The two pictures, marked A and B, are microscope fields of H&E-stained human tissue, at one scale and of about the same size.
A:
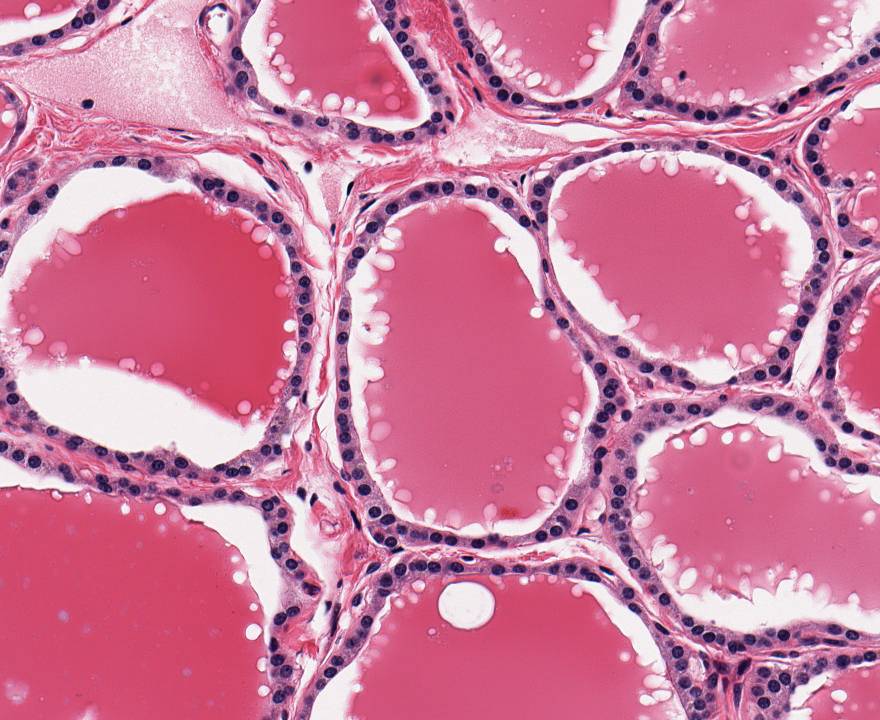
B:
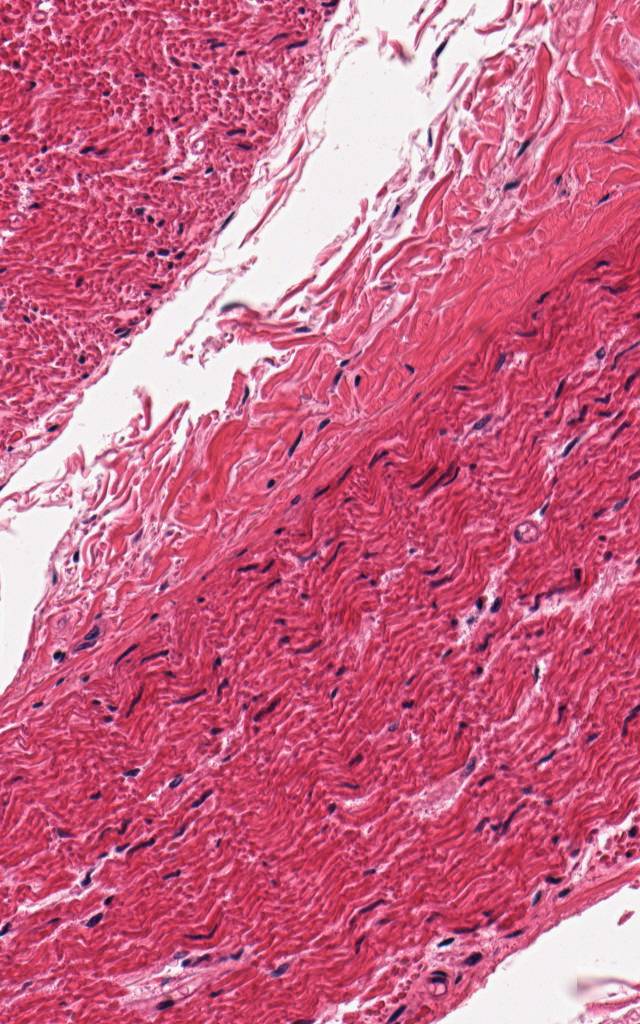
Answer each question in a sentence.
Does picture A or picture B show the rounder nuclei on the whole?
The nuclei are rounder in picture A.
